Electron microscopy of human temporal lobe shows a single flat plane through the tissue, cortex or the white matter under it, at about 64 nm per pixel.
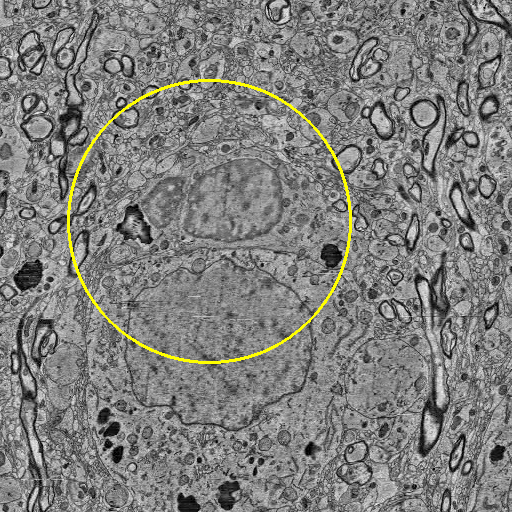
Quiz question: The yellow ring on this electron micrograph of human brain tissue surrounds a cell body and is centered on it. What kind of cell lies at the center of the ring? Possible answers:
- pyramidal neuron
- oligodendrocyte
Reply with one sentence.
The ring's center lies on an oligodendrocyte.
